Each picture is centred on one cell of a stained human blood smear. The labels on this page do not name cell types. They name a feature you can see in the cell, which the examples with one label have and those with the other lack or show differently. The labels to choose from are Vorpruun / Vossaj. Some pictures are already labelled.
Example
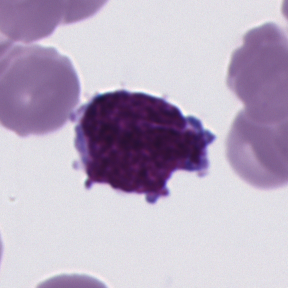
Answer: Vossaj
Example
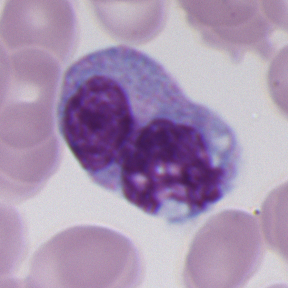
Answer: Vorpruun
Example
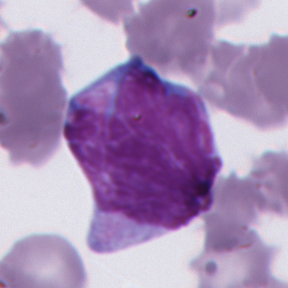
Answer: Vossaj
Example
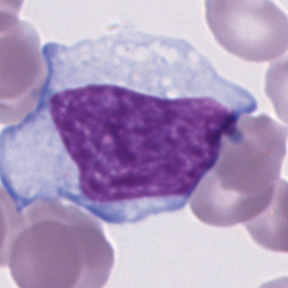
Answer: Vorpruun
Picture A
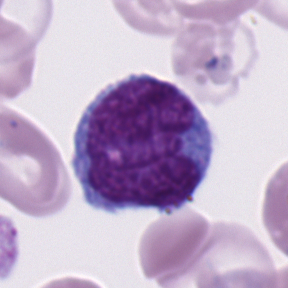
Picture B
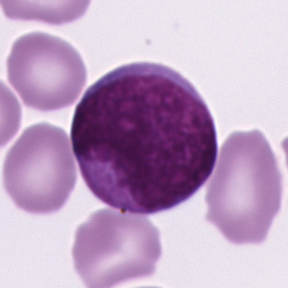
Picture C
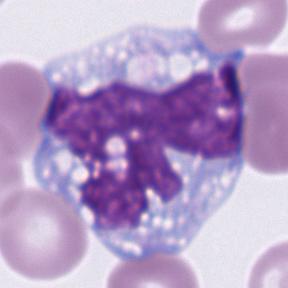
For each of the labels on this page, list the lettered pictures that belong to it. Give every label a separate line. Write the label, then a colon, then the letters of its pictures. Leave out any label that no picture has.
Vorpruun: C
Vossaj: A, B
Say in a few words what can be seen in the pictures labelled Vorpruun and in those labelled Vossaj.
Vorpruun, vacuoles present; Vossaj, no vacuoles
